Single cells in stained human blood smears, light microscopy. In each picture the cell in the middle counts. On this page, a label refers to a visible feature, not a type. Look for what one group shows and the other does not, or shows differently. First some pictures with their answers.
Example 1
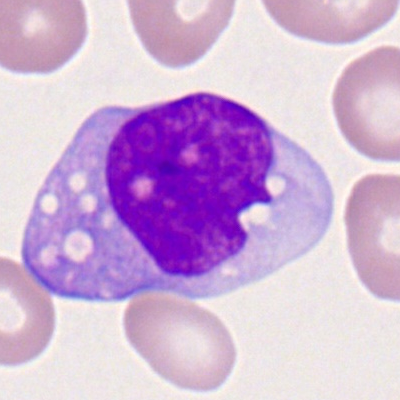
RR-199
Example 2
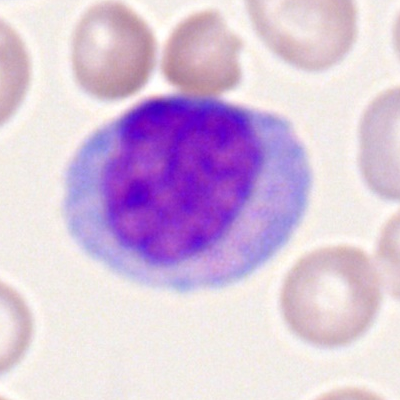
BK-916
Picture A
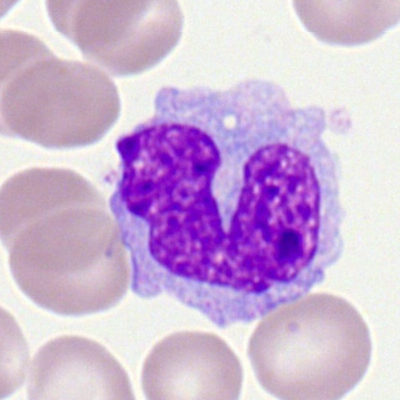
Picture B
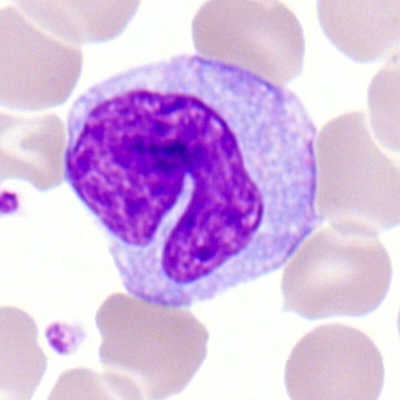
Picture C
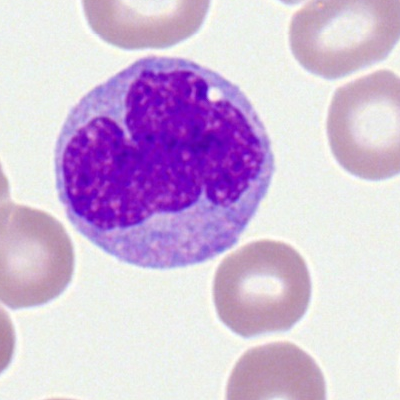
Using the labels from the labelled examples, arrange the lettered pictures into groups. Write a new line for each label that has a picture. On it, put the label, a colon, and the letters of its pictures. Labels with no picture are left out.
RR-199: A, C
BK-916: B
